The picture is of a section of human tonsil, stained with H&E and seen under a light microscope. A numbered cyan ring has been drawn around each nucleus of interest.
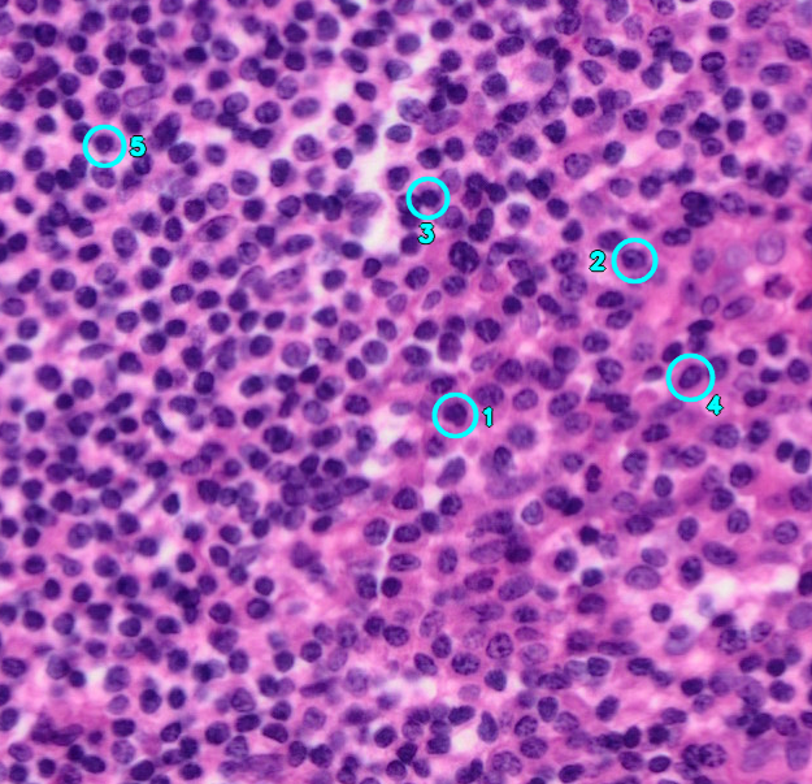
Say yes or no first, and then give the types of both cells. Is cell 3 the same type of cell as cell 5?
Yes, by cell type, cells 3 and 5 are both small lymphocytes.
